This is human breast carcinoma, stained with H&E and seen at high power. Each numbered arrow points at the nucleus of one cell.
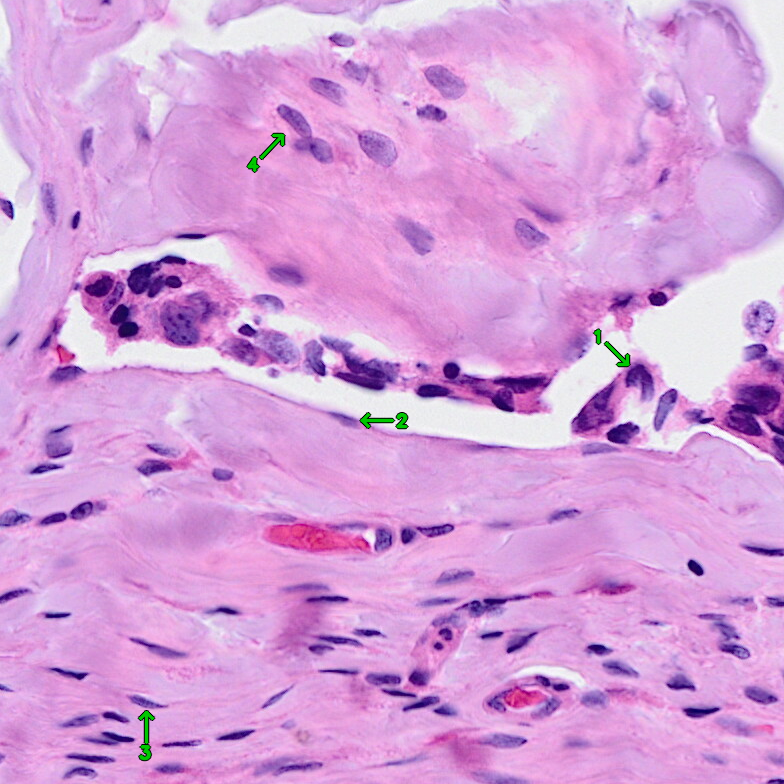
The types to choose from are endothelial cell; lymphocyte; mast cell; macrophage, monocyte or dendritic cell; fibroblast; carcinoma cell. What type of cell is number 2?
fibroblast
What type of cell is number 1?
carcinoma cell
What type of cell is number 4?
fibroblast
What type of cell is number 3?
fibroblast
